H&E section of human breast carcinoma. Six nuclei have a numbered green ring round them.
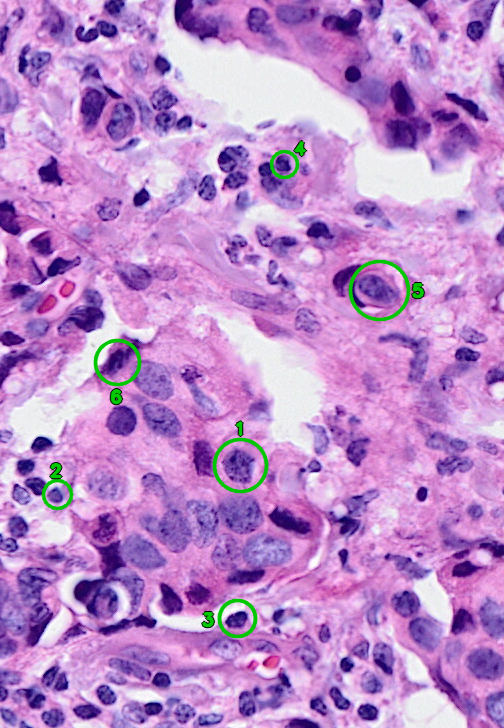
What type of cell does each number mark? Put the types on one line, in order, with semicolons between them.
carcinoma cell; lymphocyte; lymphocyte; lymphocyte; carcinoma cell; carcinoma cell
